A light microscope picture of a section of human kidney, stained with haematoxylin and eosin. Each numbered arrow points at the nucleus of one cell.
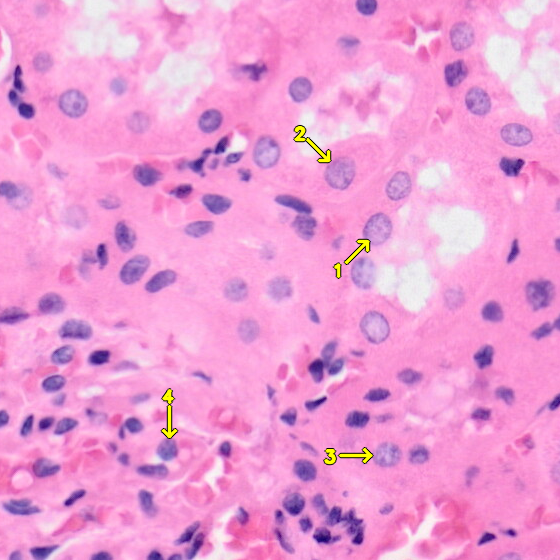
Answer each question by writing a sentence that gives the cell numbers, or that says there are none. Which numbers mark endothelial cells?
Cell number 4 alone is an endothelial cell; the rest are not.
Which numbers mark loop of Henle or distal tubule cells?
Only cell 3 is a loop of Henle or distal tubule cell; none of the other numbered cells is.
